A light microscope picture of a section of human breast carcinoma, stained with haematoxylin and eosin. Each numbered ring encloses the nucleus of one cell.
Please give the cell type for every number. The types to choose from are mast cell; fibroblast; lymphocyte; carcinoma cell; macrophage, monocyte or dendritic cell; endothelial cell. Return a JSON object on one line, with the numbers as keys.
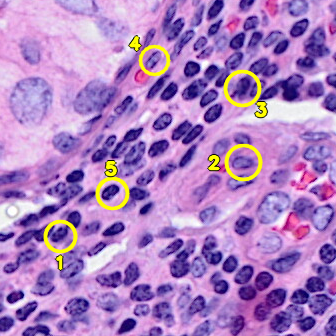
{"1": "lymphocyte", "2": "endothelial cell", "3": "lymphocyte", "4": "endothelial cell", "5": "lymphocyte"}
